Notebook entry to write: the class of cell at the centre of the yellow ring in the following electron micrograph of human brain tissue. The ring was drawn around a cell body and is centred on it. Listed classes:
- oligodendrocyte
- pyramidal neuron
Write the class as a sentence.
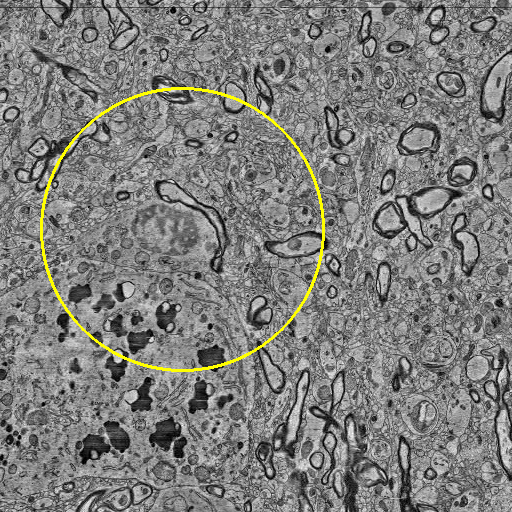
The yellow ring sits on an oligodendrocyte.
